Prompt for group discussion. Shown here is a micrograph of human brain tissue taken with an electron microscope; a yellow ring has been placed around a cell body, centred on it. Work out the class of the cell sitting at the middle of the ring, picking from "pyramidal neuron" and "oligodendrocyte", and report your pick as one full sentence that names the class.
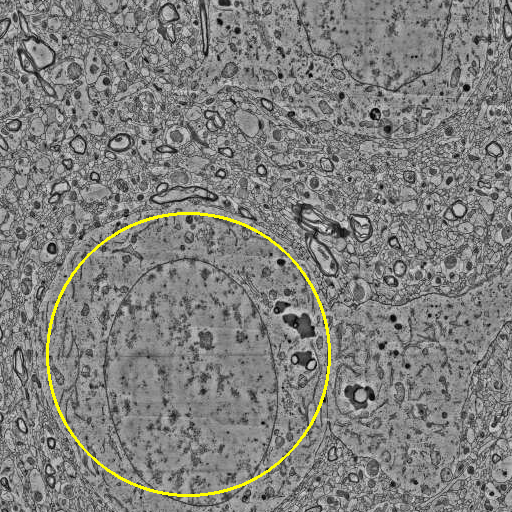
The cell sitting at the middle of the yellow ring is a pyramidal neuron.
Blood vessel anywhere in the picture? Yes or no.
No, a blood vessel is absent from this picture.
